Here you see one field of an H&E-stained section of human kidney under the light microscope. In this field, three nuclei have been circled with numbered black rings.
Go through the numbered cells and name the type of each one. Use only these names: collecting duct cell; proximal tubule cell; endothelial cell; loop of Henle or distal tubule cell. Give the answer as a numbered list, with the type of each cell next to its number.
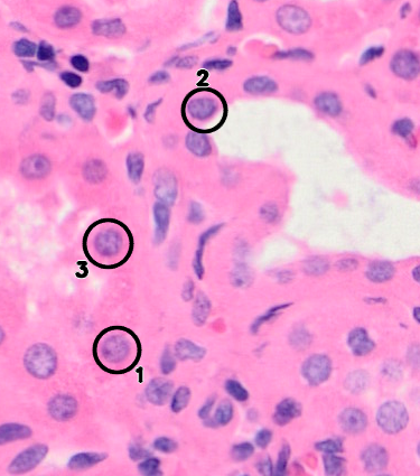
1. proximal tubule cell
2. loop of Henle or distal tubule cell
3. proximal tubule cell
